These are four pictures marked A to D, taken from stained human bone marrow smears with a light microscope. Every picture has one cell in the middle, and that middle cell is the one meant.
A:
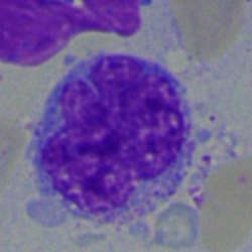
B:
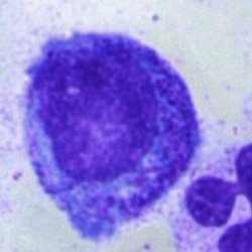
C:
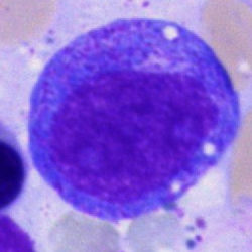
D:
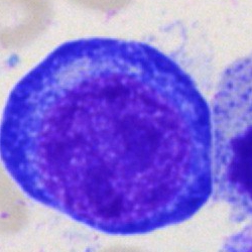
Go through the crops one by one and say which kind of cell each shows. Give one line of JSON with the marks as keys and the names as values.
{"A": "monocyte", "B": "promyelocyte", "C": "promyelocyte", "D": "proerythroblast"}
